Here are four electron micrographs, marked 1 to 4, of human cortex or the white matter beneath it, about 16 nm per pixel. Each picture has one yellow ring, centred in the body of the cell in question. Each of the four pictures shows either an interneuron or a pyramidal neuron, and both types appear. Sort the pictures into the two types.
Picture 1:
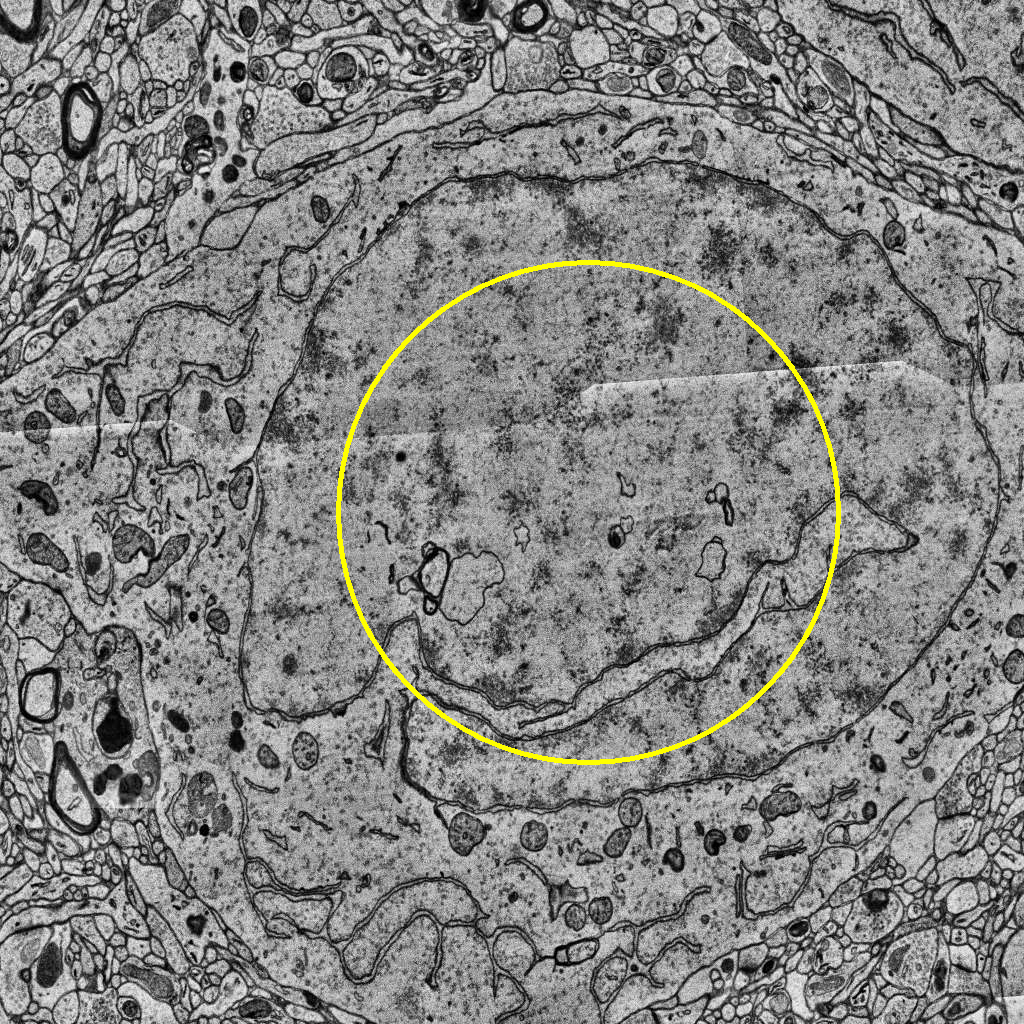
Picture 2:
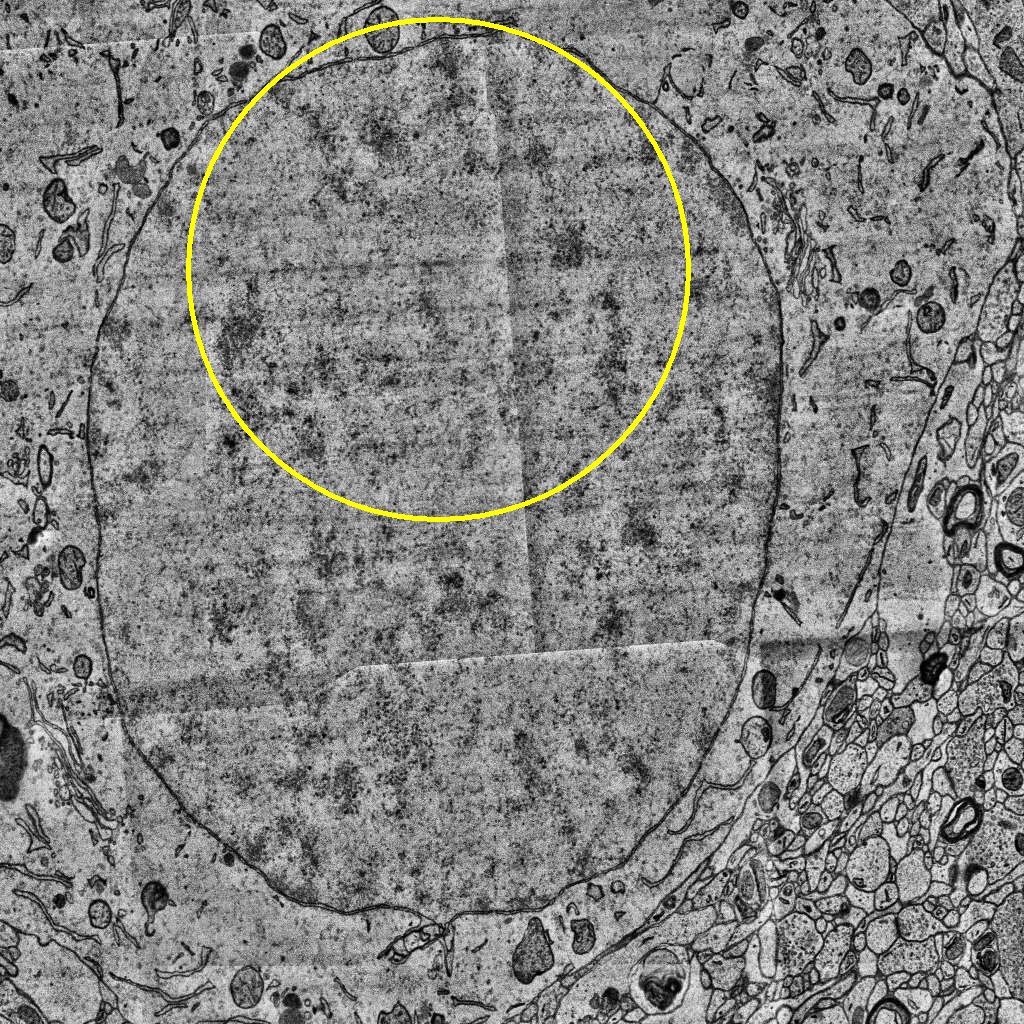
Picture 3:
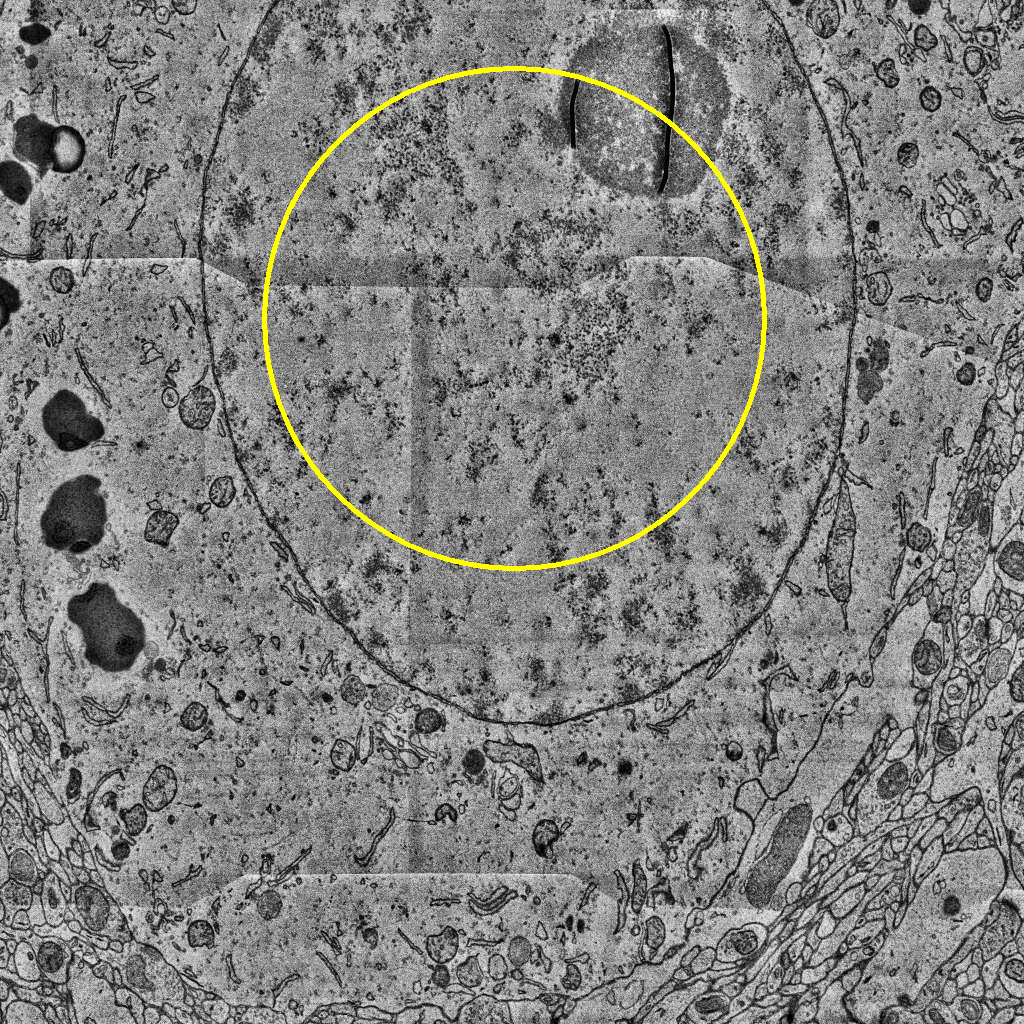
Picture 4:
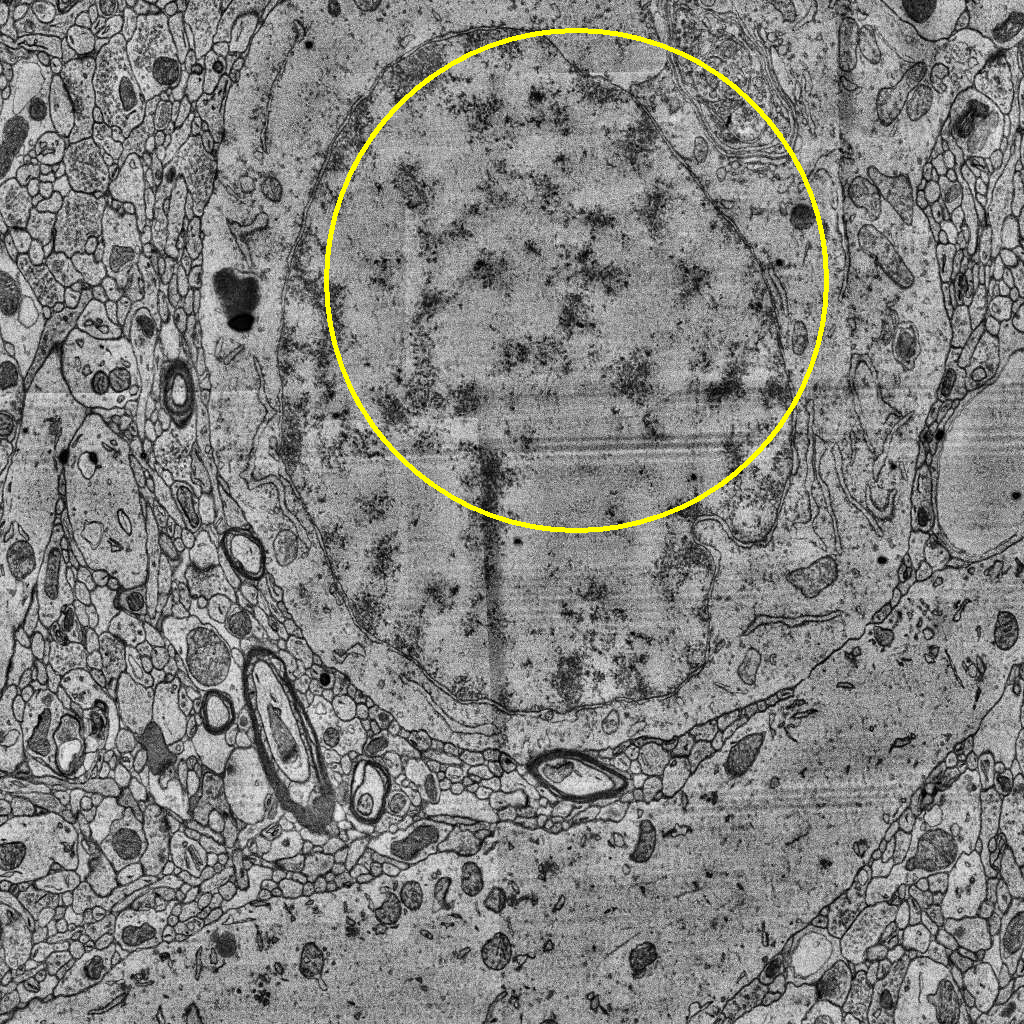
Pictures 1 and 4 show interneurons, while pictures 2 and 3 show pyramidal neurons.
